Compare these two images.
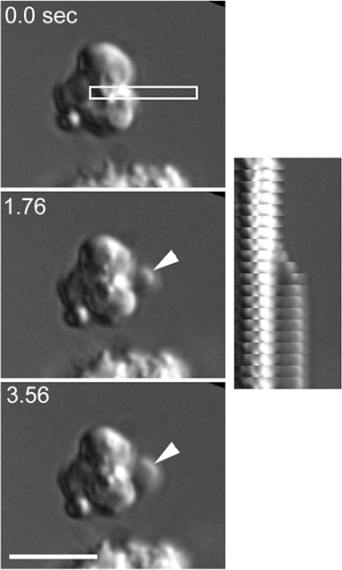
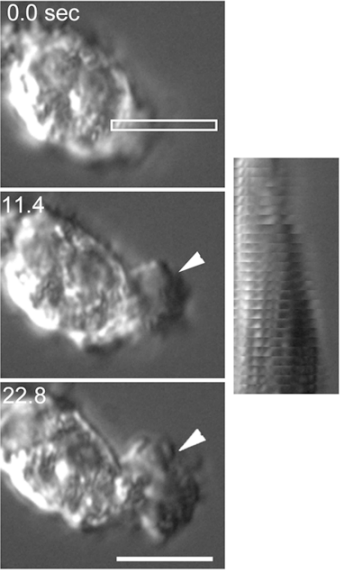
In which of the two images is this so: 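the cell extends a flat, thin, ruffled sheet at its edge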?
The second image.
